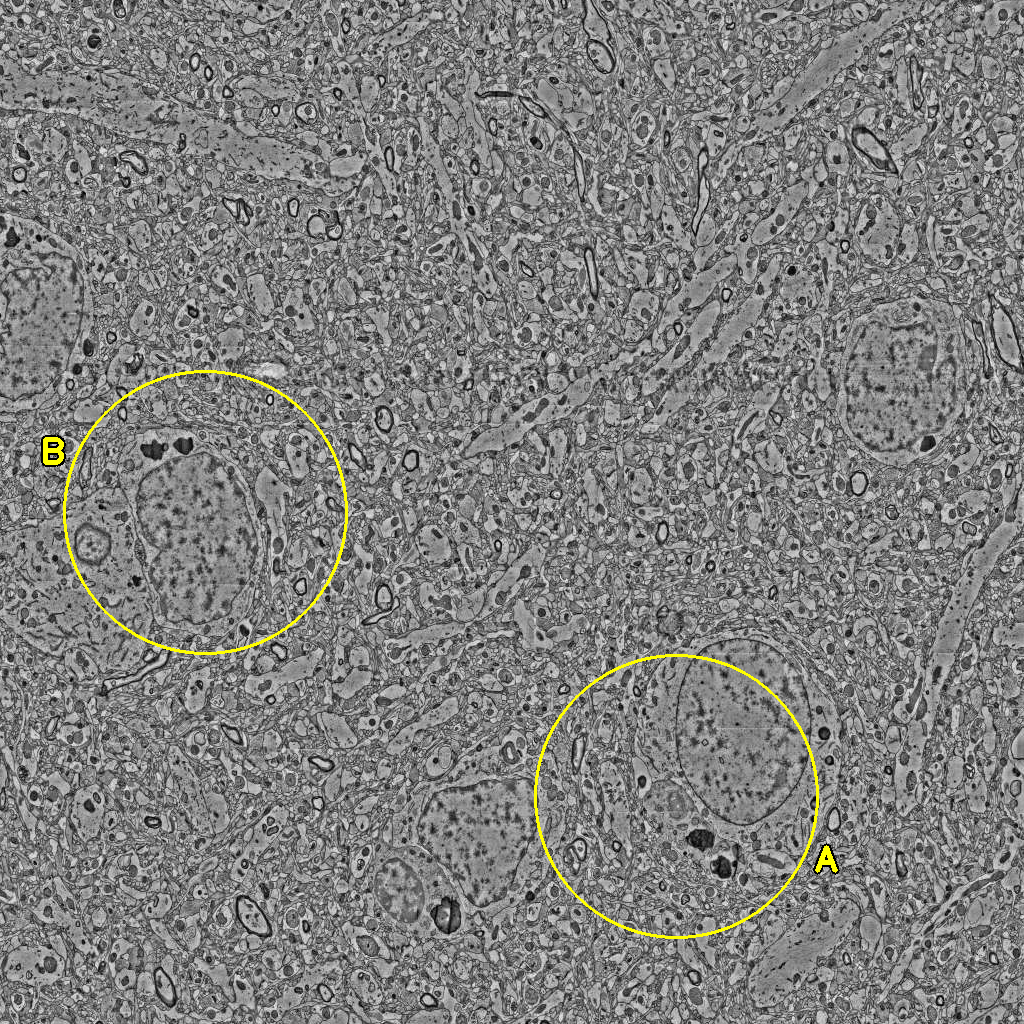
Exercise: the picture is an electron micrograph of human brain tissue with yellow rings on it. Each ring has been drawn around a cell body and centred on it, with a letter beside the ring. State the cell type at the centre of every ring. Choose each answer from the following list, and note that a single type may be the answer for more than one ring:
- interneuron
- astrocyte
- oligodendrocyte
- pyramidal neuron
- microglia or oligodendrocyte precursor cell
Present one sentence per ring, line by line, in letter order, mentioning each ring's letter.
Ring A shows an oligodendrocyte at its centre.
Ring B shows an interneuron at its centre.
